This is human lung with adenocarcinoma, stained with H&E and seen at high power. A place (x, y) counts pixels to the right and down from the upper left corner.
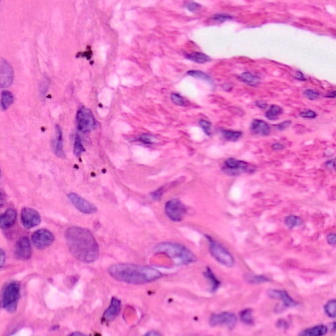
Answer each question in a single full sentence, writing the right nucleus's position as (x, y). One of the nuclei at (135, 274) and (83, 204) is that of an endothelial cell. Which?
The nucleus of an endothelial cell is the one found at (135, 274), not the other.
